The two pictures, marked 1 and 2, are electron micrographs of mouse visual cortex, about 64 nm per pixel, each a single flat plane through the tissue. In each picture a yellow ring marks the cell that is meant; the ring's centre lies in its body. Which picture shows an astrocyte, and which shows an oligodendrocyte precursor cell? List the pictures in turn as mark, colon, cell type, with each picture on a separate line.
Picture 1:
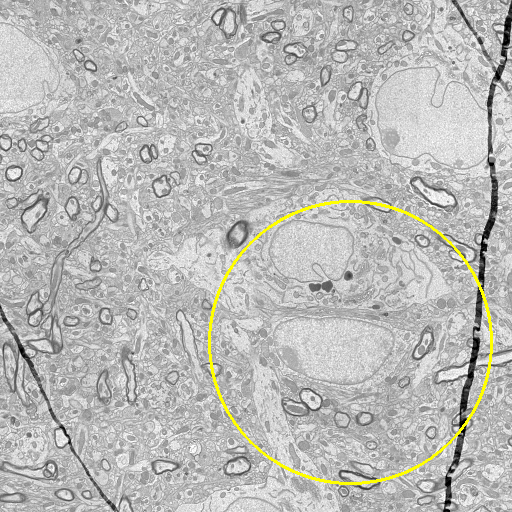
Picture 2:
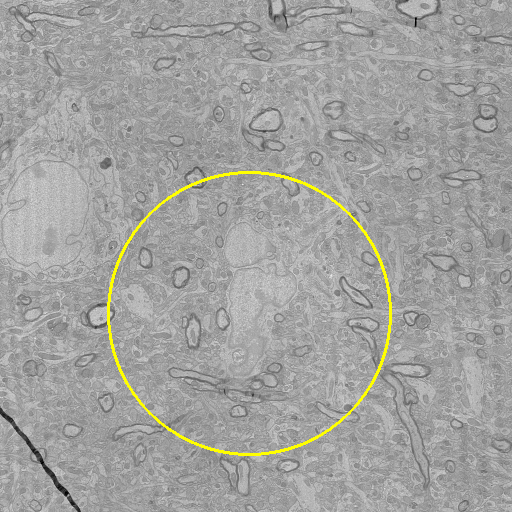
1: astrocyte
2: oligodendrocyte precursor cell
